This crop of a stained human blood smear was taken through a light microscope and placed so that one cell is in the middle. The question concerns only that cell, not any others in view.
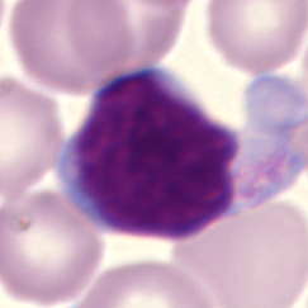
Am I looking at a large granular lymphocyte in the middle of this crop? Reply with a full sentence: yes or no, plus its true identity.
Yes, the centrally placed cell is a large granular lymphocyte.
